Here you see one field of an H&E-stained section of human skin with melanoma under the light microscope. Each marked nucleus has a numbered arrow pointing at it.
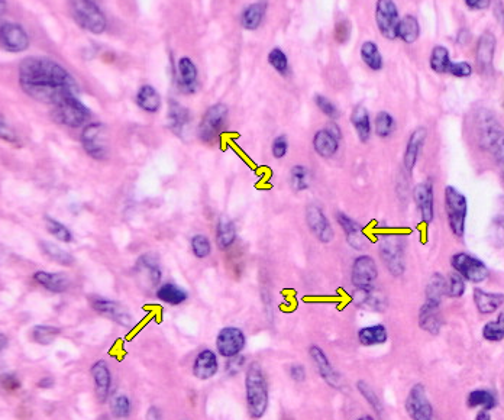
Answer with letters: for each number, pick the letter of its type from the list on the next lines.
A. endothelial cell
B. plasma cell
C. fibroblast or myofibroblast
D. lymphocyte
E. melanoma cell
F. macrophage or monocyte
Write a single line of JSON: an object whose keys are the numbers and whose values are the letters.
{"1": "A", "2": "F", "3": "A", "4": "B"}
